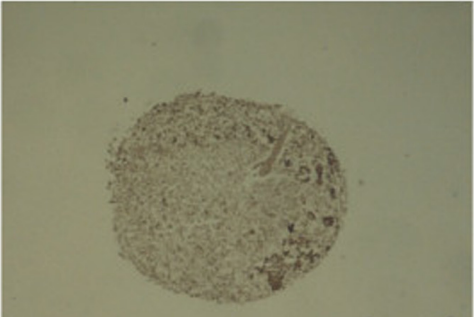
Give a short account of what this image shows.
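The tissue has a loose, granular texture with a paler centre. Brown staining runs through the mass and is darker in small patches toward the edge.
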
